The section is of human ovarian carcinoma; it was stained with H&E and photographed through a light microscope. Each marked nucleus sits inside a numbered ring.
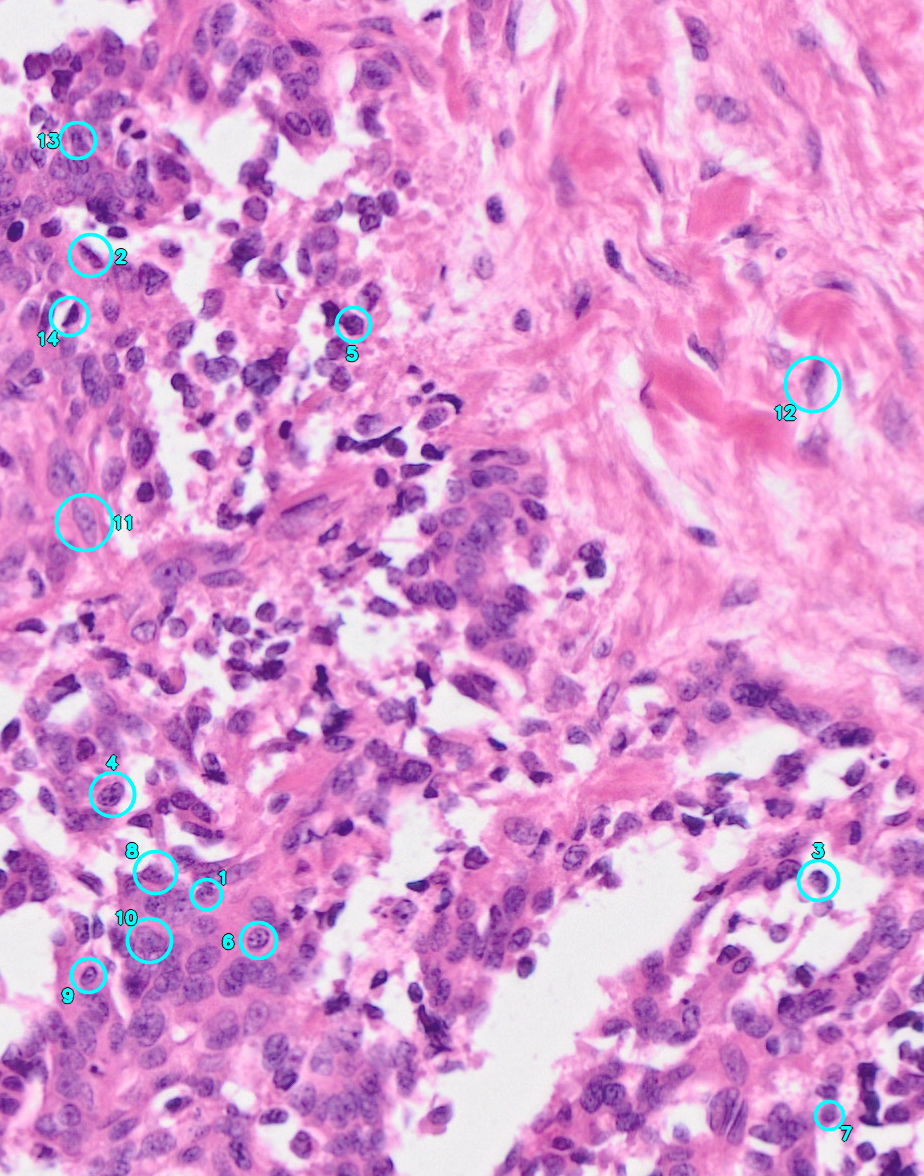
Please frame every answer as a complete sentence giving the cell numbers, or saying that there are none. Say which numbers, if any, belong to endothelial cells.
Of the numbered nuclei, only the one labelled 11 belongs to an endothelial cell.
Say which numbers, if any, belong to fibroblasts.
In short, cell 12 is a fibroblast; the others are not.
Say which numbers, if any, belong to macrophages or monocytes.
On this slide, the cells numbered 1, 4, 6 and 9 are macrophages or monocytes.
